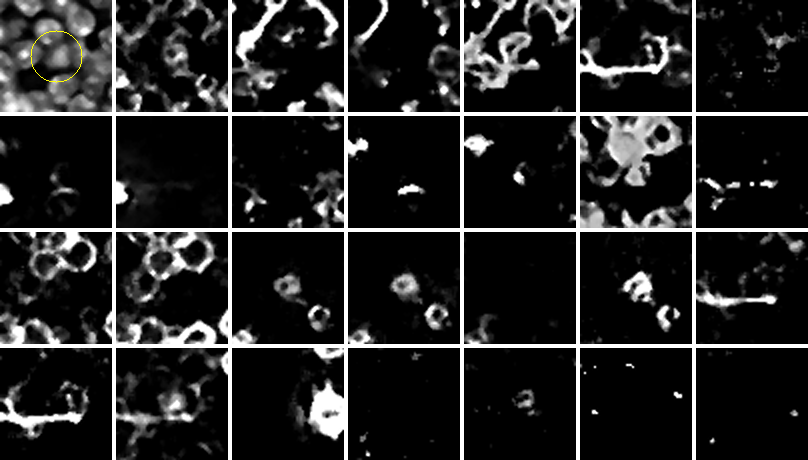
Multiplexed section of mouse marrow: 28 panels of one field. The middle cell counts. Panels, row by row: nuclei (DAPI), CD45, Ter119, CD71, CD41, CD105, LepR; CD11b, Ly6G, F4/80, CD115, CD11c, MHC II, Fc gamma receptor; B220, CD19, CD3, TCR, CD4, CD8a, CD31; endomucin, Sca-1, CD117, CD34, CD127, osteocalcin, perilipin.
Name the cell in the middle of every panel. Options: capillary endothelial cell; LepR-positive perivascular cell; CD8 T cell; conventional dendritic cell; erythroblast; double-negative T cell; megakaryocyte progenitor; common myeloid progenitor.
CD8 T cell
